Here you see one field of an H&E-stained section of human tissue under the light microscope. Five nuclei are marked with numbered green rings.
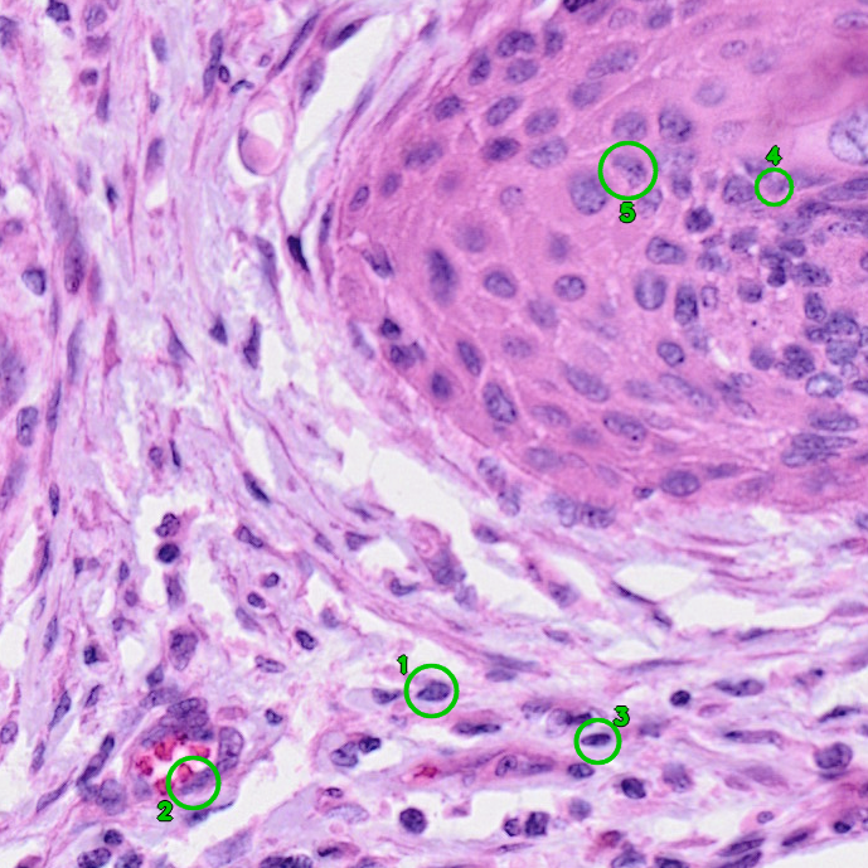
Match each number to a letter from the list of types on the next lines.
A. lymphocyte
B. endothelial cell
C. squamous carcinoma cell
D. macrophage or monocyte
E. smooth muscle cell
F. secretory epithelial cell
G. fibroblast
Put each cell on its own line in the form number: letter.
1: A
2: B
3: A
4: C
5: C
